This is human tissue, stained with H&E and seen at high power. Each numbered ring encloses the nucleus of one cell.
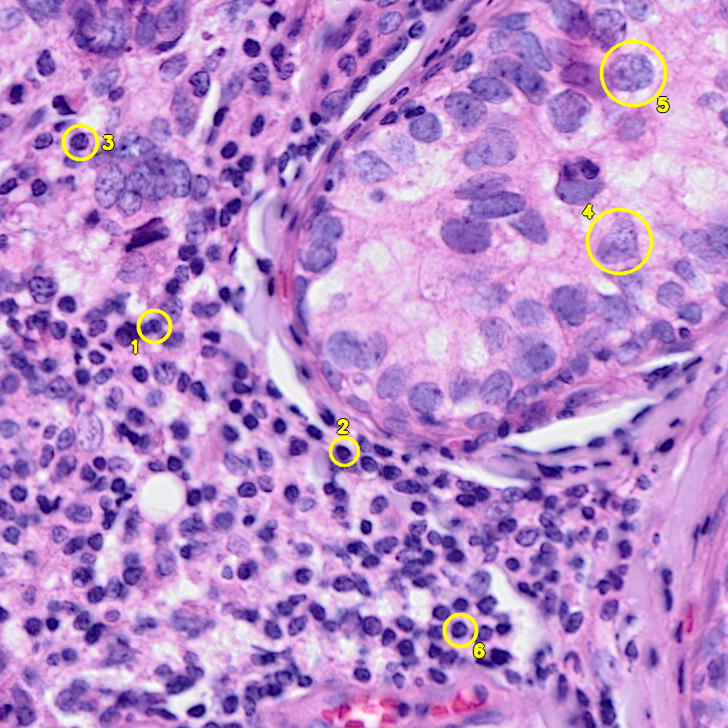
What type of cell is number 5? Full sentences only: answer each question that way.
The correct answer for cell 5 is a carcinoma cell.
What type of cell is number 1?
Belonging to a lymphocyte is the nucleus that carries the number 1.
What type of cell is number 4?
The one numbered 4 among the marked cells is a carcinoma cell.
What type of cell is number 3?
What the number 3 marks in this field is a lymphocyte.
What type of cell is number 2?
Numbered cell 2 is a lymphocyte in this tissue section.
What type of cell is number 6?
The identity of cell 6 is that of a lymphocyte.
